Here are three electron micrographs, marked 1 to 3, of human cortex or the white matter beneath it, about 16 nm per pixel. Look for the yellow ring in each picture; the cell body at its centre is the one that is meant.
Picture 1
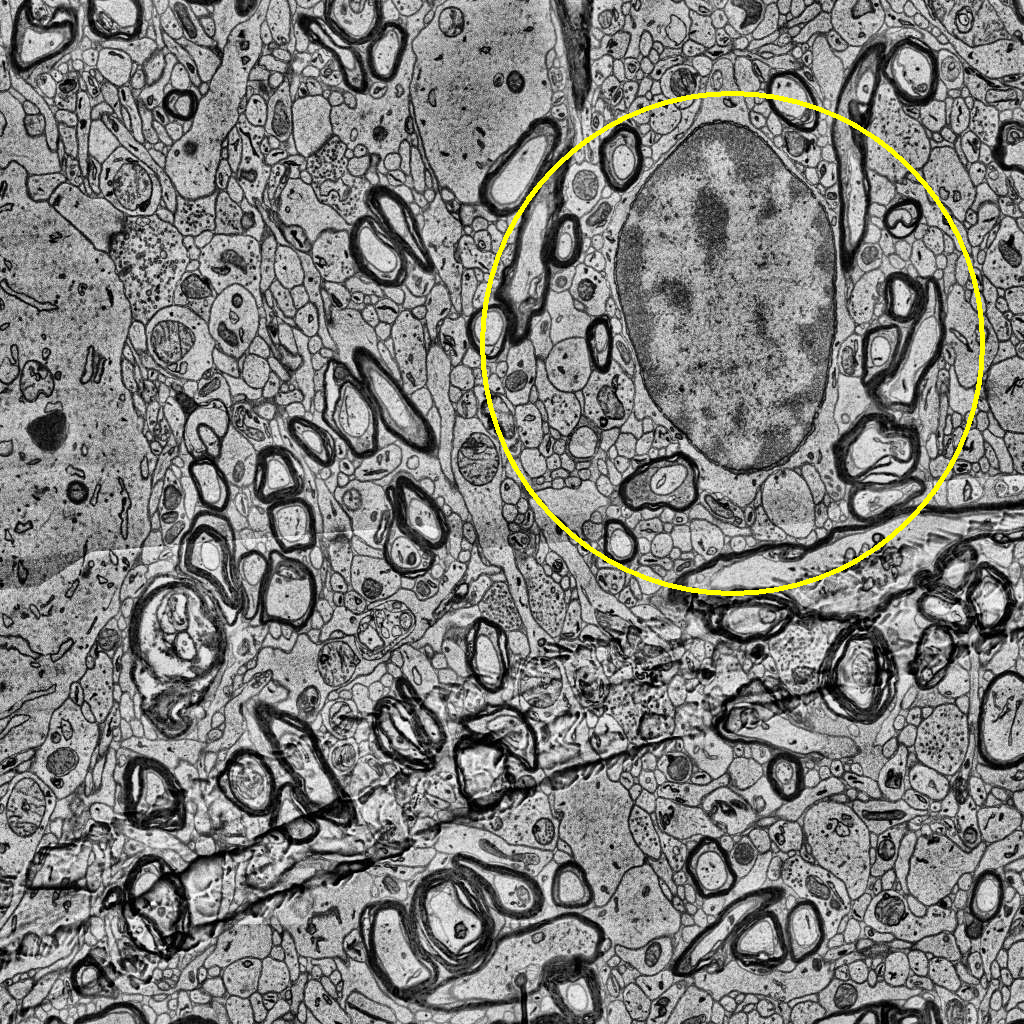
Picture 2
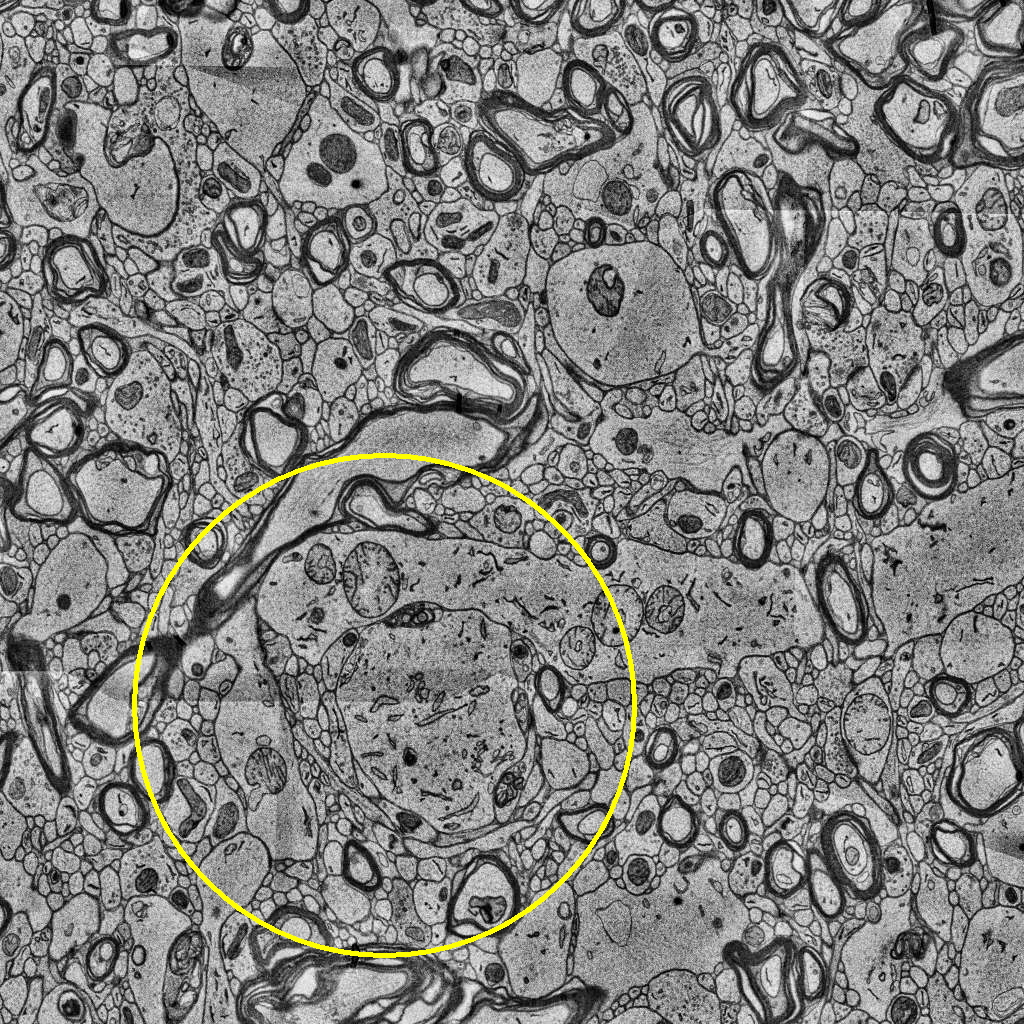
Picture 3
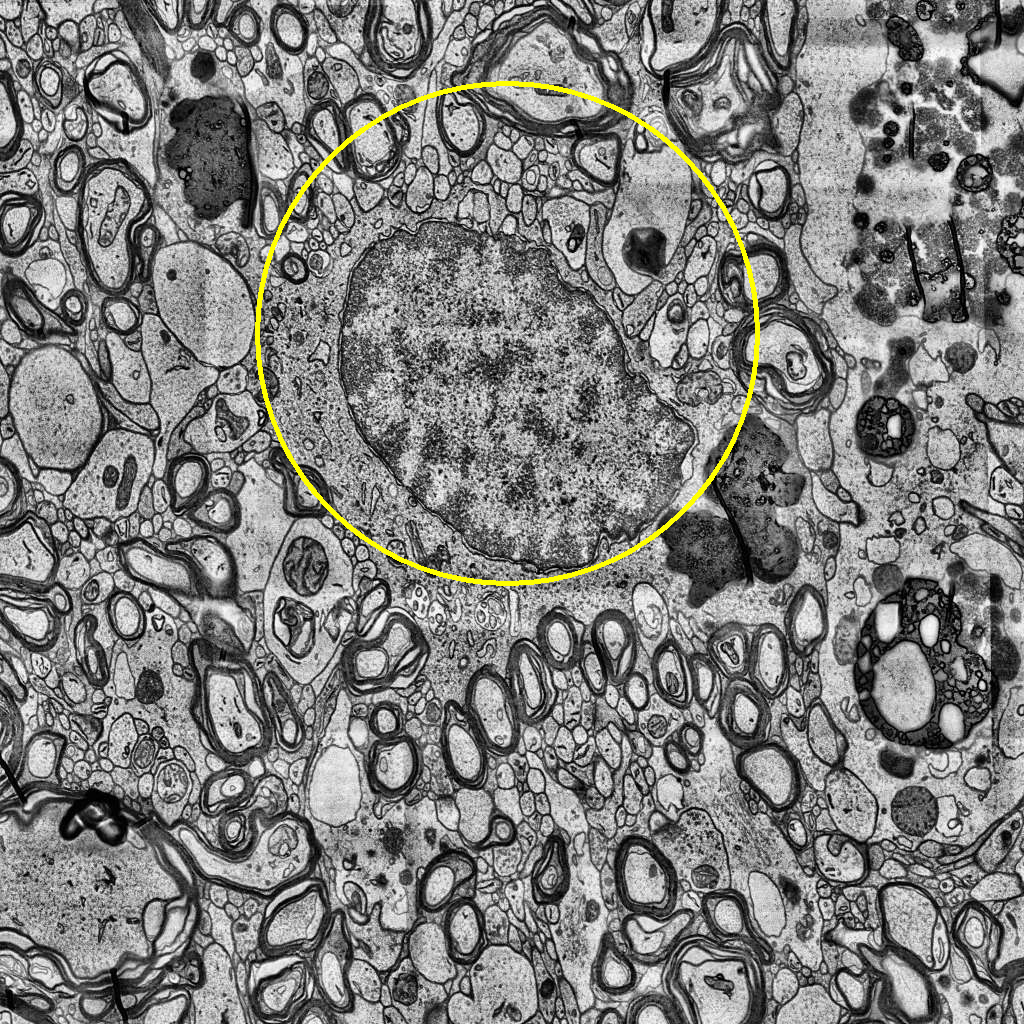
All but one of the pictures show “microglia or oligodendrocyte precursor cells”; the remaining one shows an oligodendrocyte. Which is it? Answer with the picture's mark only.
3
